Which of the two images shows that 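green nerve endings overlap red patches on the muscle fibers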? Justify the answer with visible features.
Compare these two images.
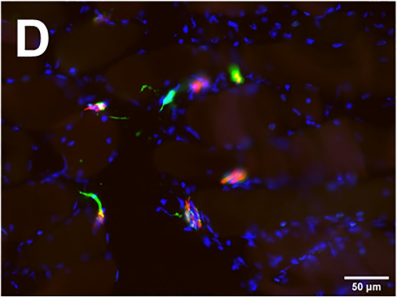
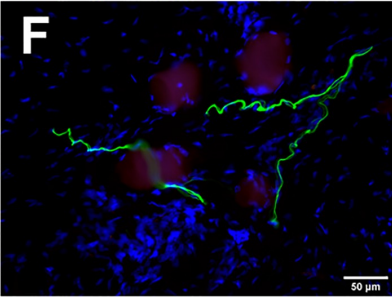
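The first image. Second image: long thin wavy green fibers run through the tissue with no compact red-green overlap at their ends. First image: several short green fibers end in compact patches overlapping red.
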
